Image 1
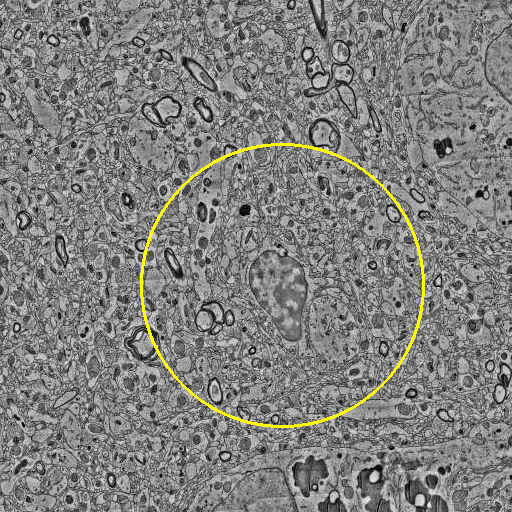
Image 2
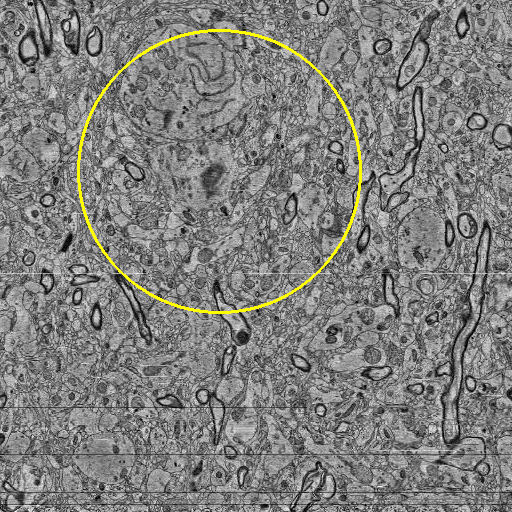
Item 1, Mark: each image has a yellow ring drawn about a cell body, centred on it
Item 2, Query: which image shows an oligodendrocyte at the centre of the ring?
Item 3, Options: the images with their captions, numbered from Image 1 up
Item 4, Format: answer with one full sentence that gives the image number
My answer is image 2, where the cell at the ring's centre fits.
